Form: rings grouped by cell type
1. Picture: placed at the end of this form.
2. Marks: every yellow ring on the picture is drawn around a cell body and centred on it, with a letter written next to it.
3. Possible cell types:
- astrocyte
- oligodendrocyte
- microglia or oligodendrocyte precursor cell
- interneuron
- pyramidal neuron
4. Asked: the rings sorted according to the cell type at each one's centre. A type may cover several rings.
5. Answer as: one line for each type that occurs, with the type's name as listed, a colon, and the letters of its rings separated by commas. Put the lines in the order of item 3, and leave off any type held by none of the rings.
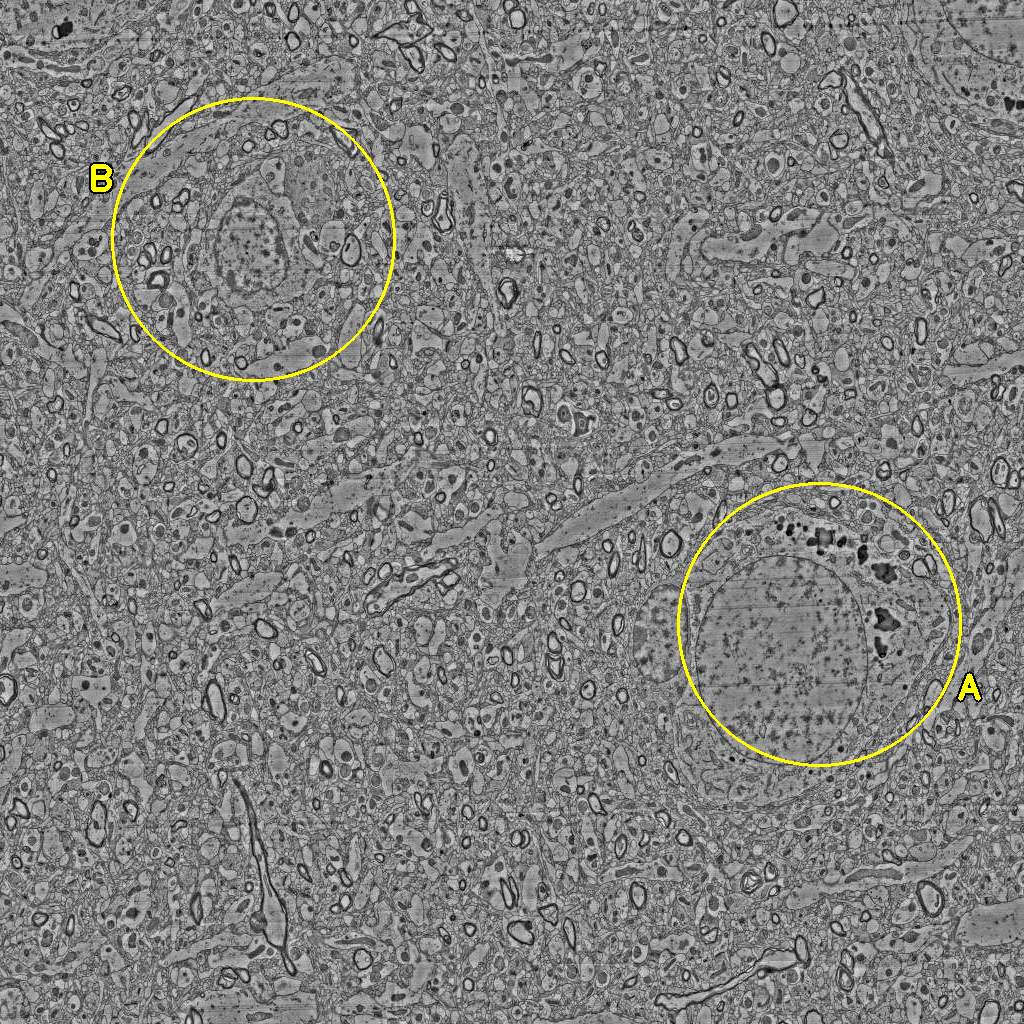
interneuron: B
pyramidal neuron: A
